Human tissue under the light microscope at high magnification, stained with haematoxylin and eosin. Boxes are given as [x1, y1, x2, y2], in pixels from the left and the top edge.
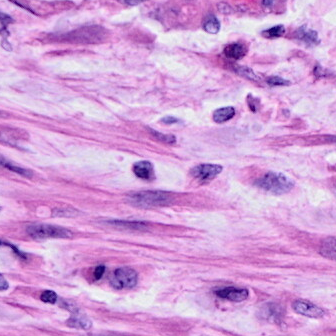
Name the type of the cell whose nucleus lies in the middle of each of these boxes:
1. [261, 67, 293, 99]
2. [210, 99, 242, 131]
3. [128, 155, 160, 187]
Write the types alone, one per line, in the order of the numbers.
fibroblast
lymphocyte
lymphocyte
